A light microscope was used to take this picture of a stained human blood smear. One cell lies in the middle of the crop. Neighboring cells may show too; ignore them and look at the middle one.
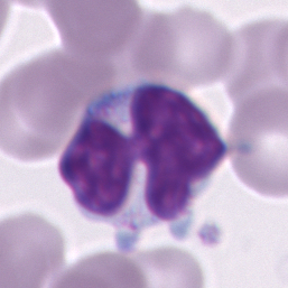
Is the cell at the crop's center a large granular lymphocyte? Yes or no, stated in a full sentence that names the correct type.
Yes, the cell at the middle of the field is to be classed as a large granular lymphocyte.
